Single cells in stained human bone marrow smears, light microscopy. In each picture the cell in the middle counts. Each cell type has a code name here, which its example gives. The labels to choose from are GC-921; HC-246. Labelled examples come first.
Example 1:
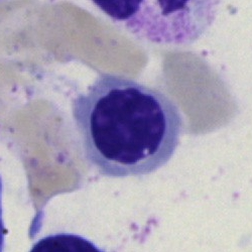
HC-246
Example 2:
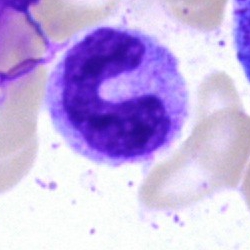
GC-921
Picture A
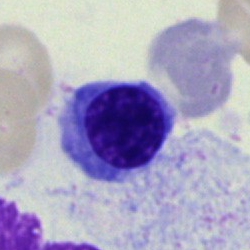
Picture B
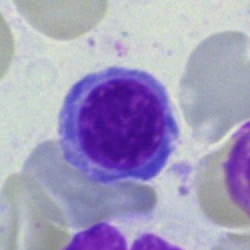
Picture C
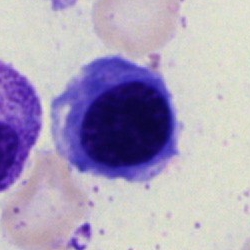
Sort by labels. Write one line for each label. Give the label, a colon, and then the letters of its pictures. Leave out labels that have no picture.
HC-246: A, B, C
